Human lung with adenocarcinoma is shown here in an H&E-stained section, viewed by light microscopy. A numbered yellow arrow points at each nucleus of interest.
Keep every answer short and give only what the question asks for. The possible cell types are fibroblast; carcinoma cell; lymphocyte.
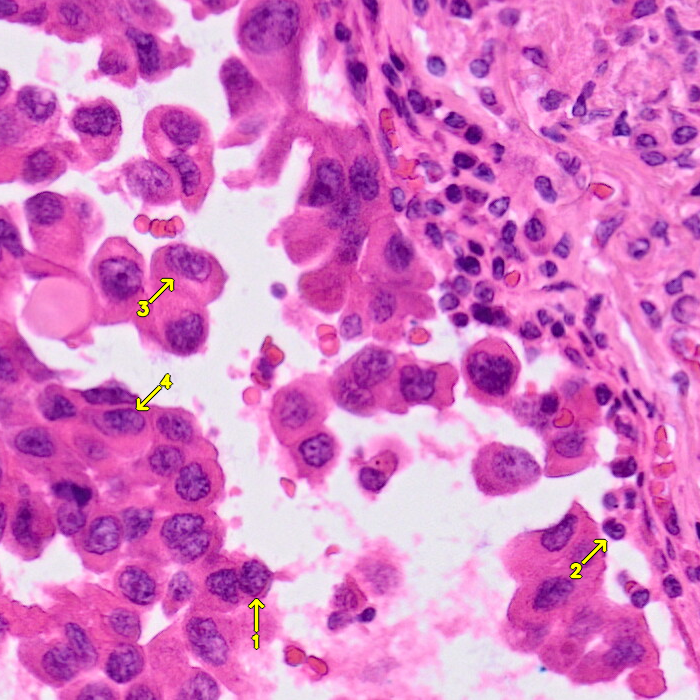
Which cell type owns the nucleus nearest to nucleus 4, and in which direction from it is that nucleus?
a carcinoma cell; above and to the left of nucleus 4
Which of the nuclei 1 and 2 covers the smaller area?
2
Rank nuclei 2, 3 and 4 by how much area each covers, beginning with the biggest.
3, 4, 2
